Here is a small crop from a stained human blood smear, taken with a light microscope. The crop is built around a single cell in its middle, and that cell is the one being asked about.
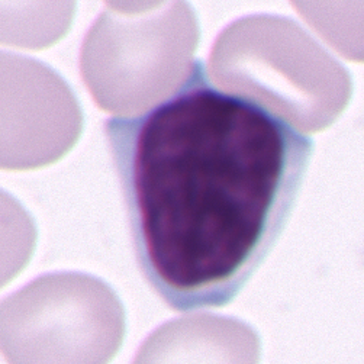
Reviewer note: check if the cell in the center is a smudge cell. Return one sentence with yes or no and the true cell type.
No, the cell at the centre of the crop corresponds to a typical lymphocyte, not a smudge cell.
